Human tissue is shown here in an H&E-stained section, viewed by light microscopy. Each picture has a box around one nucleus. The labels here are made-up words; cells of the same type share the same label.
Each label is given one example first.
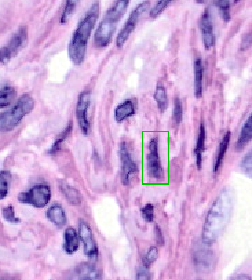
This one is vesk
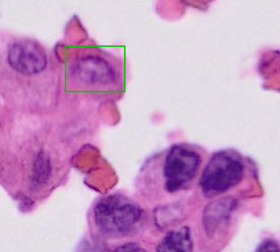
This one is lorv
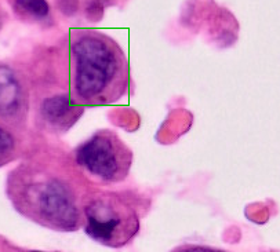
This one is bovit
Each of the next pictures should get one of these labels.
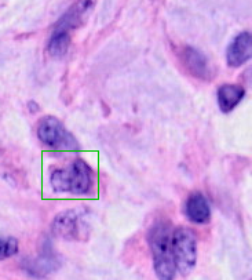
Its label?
lorv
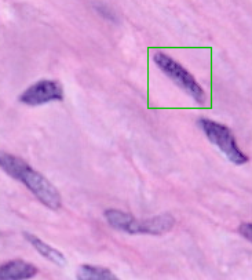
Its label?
vesk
